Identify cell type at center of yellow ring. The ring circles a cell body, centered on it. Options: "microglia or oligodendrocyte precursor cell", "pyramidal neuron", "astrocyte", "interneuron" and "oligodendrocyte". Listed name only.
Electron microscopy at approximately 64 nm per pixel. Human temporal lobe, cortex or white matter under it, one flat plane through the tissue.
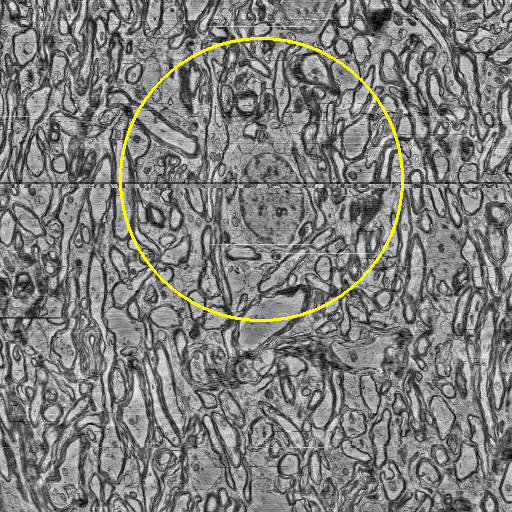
microglia or oligodendrocyte precursor cell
